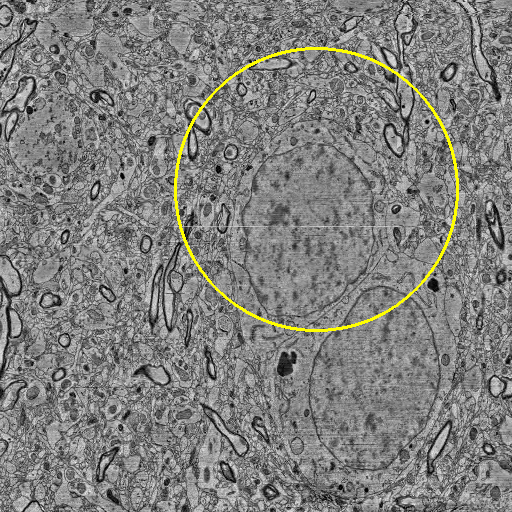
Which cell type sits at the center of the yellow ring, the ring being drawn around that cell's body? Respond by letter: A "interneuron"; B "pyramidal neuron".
A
